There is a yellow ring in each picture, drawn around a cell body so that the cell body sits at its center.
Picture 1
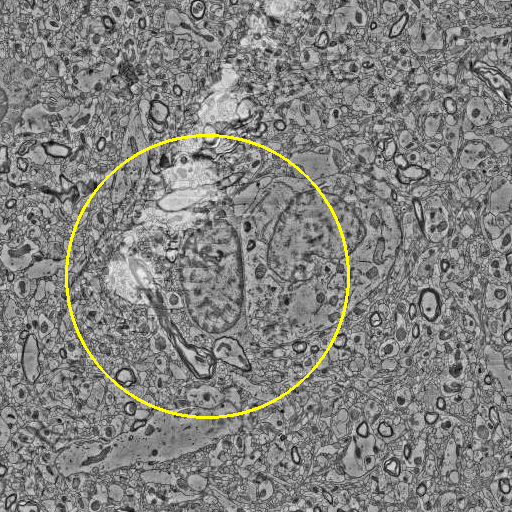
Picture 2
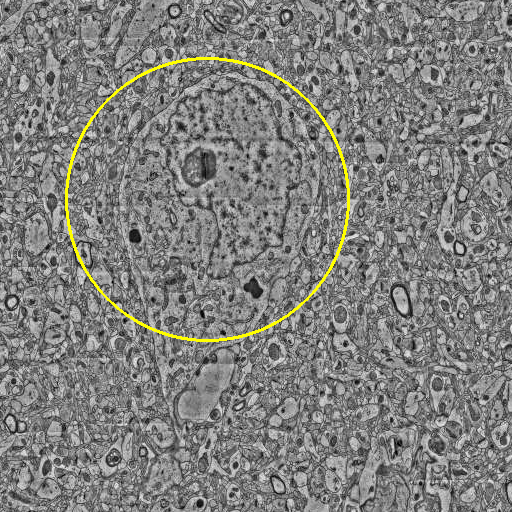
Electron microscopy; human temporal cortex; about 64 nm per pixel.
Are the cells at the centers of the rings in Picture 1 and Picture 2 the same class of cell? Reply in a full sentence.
No, the two cells are two classes of cell.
